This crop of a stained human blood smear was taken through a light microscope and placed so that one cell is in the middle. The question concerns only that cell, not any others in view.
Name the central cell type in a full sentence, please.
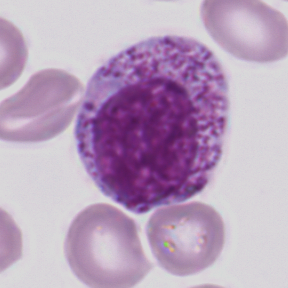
Positioned in the middle of the crop is a myelocyte.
